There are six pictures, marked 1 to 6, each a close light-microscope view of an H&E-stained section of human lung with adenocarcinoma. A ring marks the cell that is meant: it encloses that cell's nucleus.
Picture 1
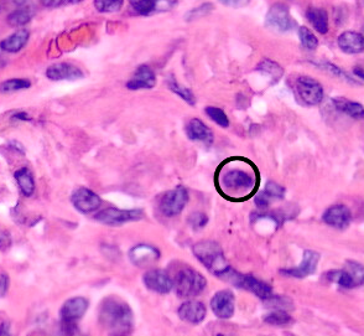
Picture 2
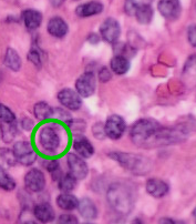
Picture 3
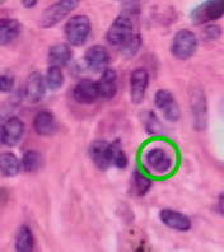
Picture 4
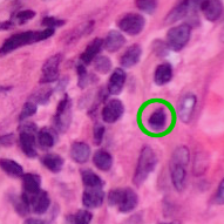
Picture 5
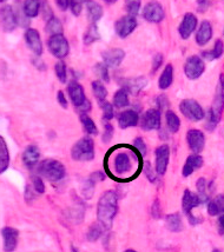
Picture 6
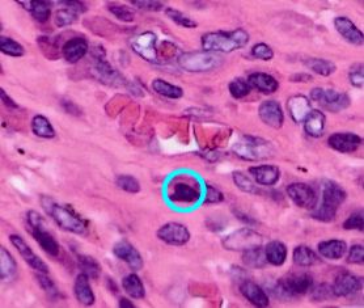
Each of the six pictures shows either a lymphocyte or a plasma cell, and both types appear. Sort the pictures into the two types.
1: plasma cell
2: lymphocyte
3: lymphocyte
4: lymphocyte
5: lymphocyte
6: plasma cell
